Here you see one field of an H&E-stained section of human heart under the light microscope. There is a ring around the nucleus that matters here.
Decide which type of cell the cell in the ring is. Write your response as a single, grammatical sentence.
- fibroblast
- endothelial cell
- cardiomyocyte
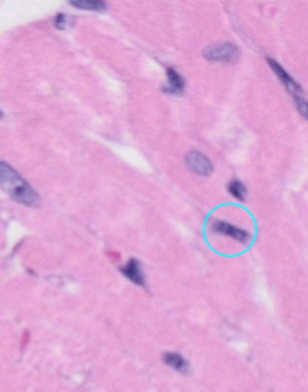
Cell type answer for this item: the cell in the ring is a fibroblast.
